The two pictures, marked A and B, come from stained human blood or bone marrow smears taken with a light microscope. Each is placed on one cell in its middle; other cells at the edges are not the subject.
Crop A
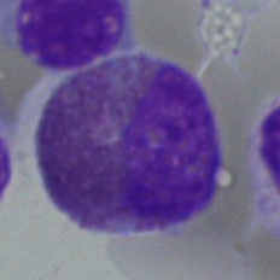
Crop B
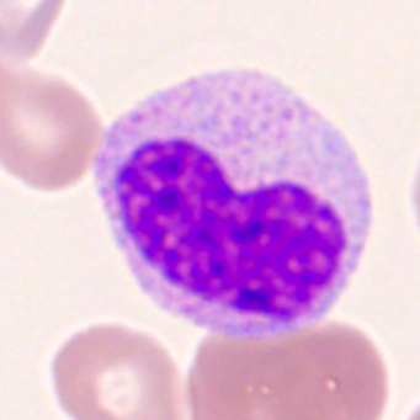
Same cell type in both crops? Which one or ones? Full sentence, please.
No, an eosinophil is depicted by crop A, a band neutrophil by crop B.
